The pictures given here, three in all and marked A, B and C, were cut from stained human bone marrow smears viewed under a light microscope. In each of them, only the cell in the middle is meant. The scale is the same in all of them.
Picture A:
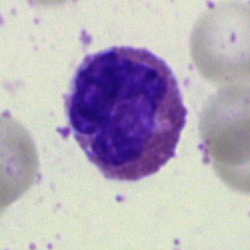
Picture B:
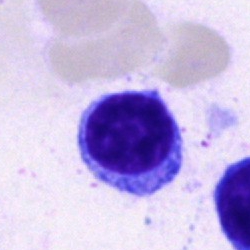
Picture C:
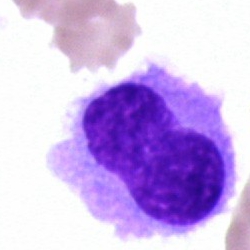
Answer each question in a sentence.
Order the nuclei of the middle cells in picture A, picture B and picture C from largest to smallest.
The order is C, A, B, beginning with the largest.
